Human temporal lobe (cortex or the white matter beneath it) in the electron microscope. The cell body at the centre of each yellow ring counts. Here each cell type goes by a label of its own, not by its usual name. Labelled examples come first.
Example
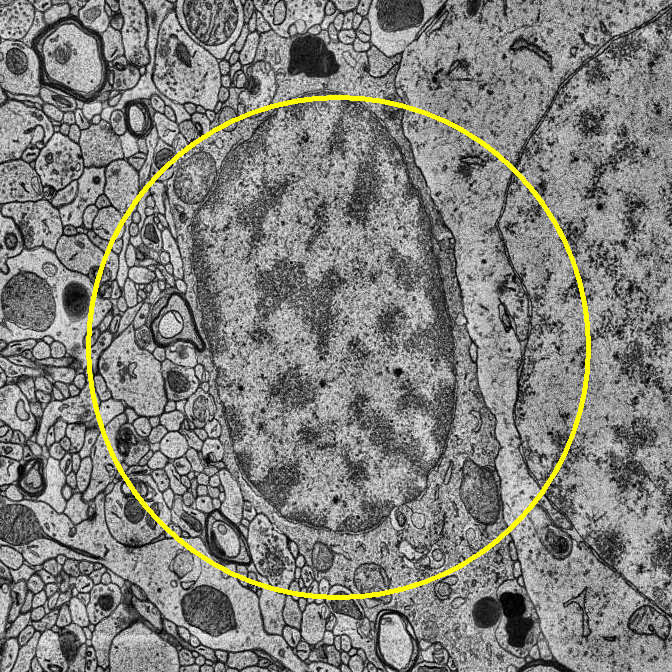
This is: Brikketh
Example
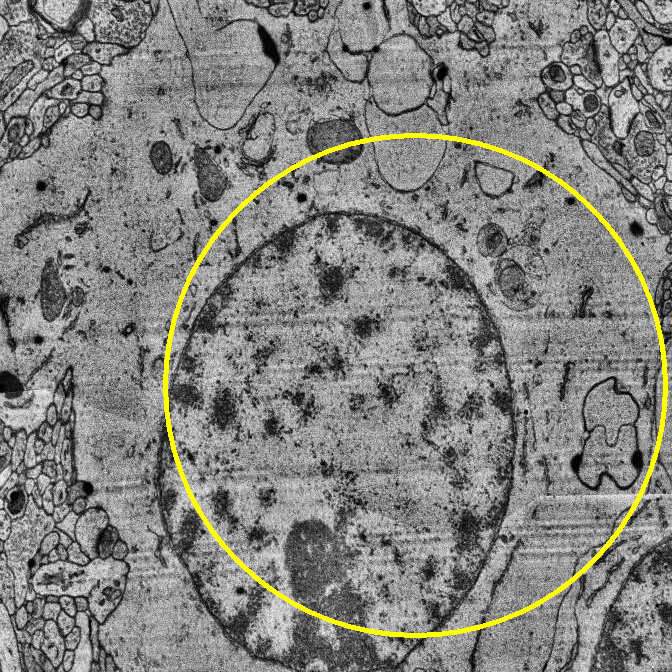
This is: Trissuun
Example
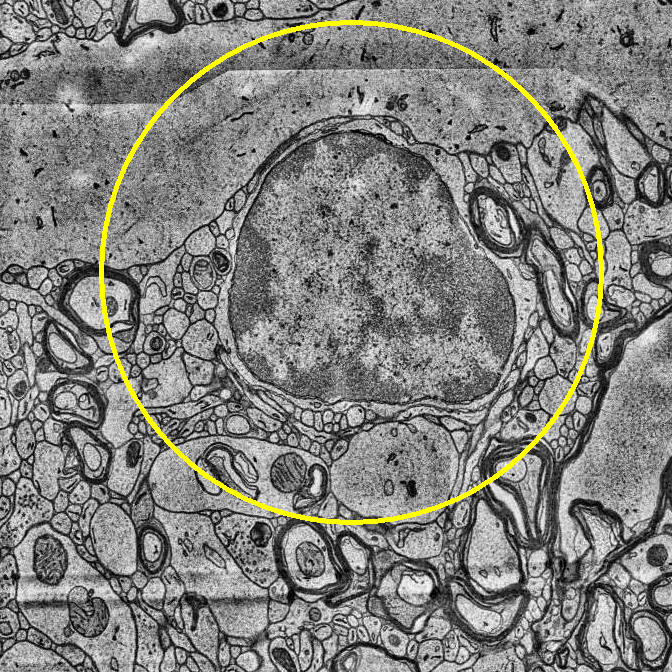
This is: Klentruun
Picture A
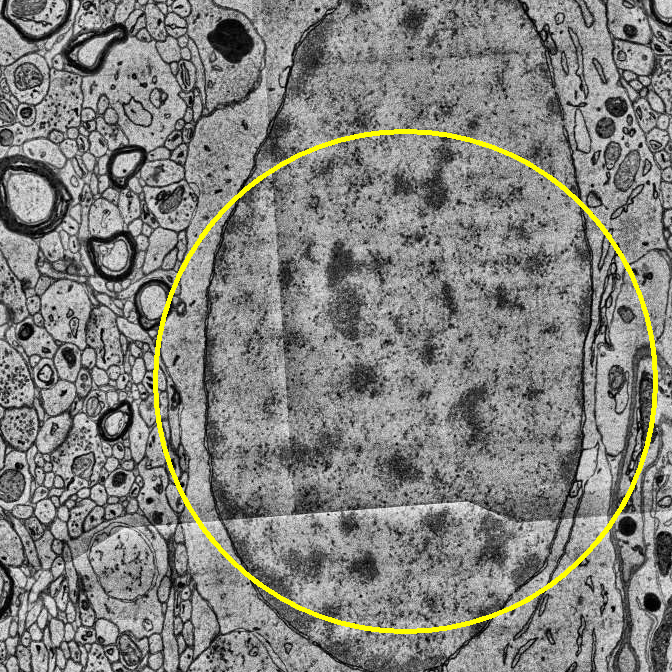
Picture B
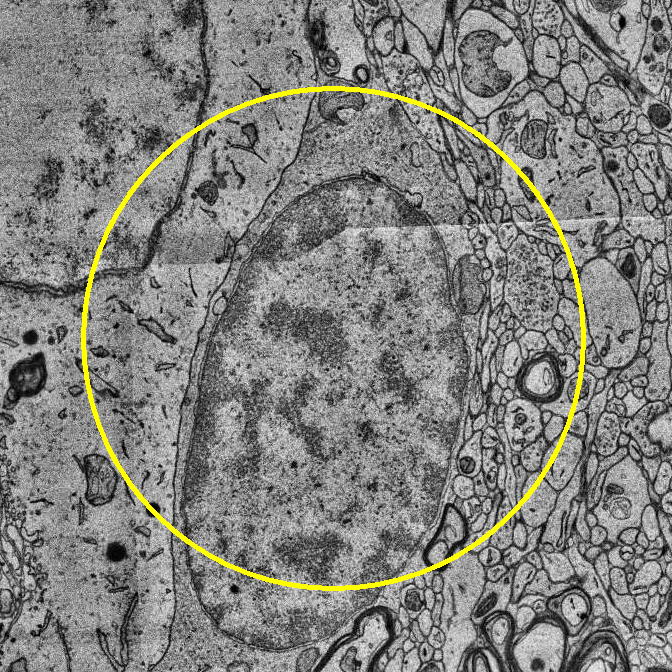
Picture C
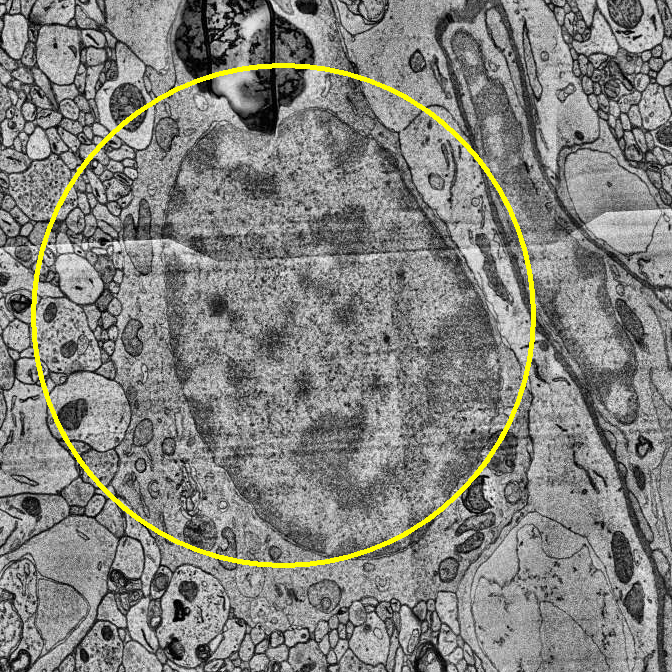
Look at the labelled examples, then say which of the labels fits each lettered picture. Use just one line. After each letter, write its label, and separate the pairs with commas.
A Klentruun, B Brikketh, C Brikketh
